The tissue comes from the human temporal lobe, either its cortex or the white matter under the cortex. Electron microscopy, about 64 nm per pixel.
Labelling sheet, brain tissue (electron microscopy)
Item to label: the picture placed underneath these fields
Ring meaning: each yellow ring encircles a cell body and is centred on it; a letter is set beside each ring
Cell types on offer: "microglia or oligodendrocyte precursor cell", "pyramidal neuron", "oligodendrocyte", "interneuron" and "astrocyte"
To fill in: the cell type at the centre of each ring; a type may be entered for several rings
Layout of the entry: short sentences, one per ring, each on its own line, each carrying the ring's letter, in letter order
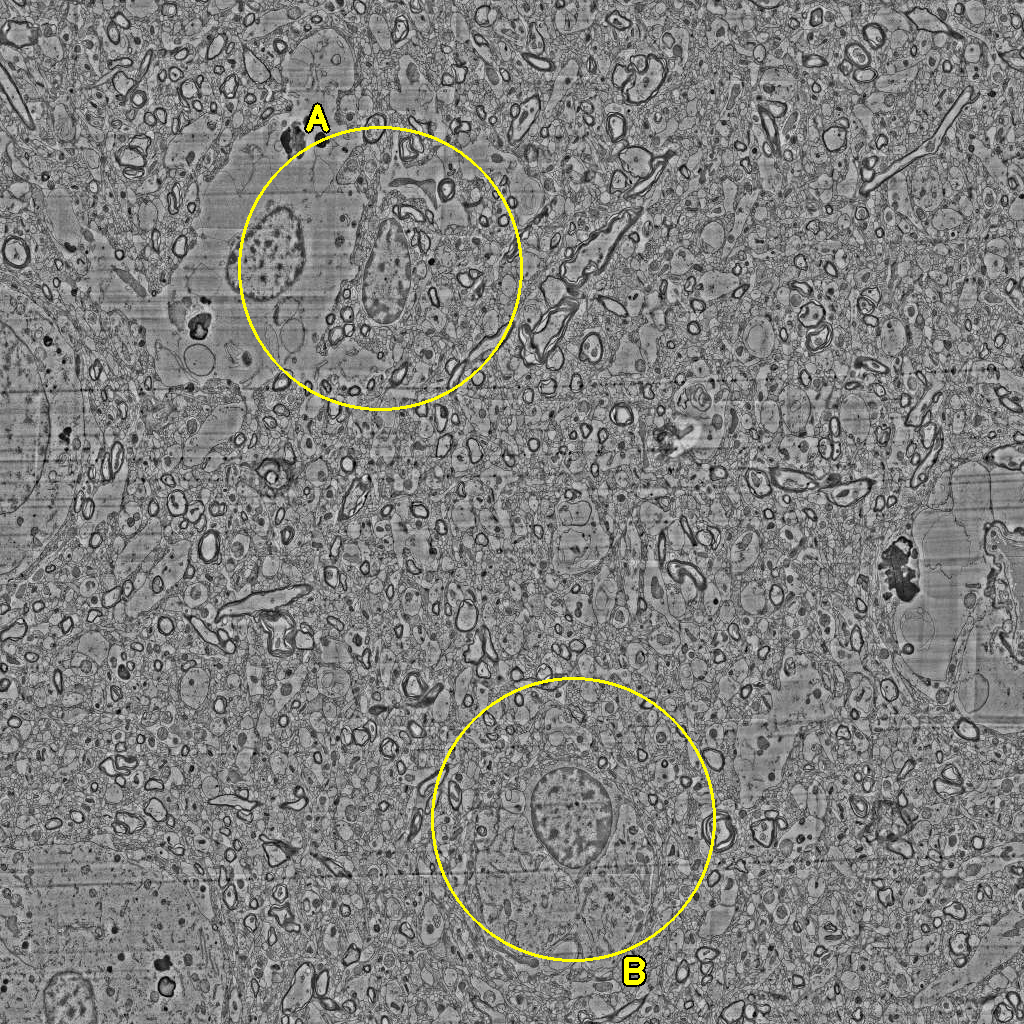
Ring A encircles the body of a microglial cell or oligodendrocyte precursor cell.
Ring B encircles the body of an oligodendrocyte.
